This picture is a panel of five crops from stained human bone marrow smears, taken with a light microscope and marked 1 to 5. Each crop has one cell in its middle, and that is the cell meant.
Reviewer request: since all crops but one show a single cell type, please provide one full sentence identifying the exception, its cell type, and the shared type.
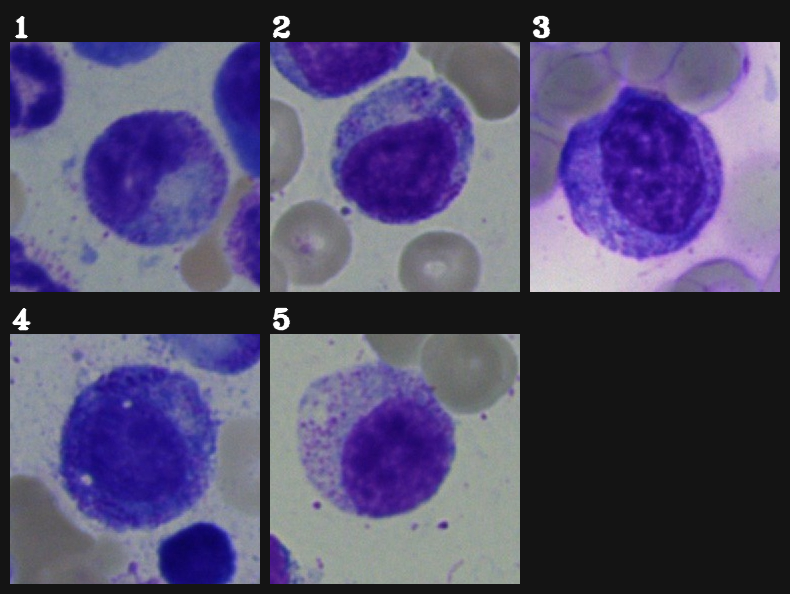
All of the other crops show myelocytes, while crop 1 shows a metamyelocyte instead.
